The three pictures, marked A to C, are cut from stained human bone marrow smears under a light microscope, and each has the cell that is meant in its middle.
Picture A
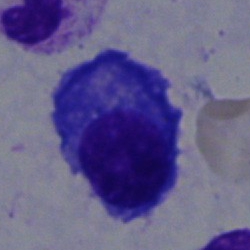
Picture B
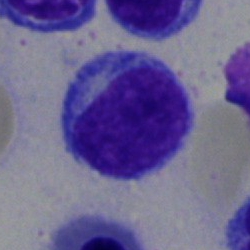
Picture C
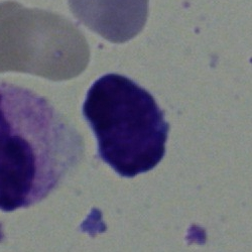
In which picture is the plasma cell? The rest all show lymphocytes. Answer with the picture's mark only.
A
